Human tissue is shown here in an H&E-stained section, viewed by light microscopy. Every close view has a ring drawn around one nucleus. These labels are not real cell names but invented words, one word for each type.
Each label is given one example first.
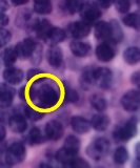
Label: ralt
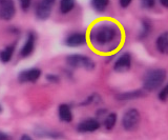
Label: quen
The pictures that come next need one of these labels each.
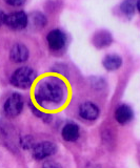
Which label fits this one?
quen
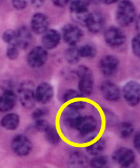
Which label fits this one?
quen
